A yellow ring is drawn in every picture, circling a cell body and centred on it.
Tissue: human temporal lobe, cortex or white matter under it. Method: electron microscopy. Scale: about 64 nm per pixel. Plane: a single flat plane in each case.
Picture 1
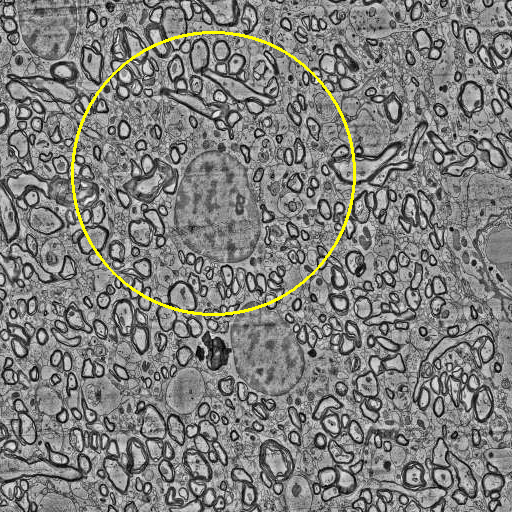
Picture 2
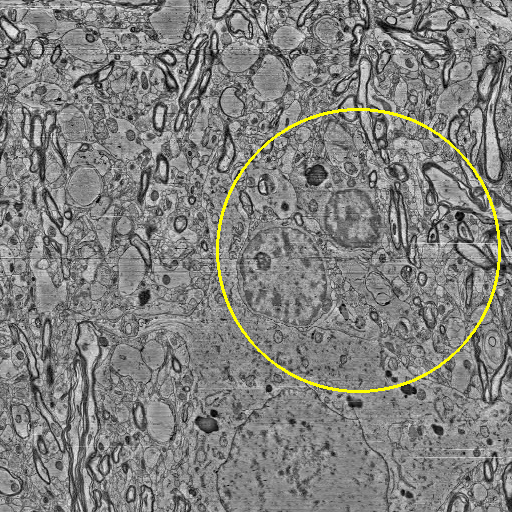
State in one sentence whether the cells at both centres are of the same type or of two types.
The cells at the two ring centres, one per picture, are of the same type.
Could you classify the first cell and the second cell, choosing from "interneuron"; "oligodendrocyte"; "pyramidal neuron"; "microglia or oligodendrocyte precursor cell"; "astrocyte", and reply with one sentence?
Both rings mark an oligodendrocyte, one in each picture.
